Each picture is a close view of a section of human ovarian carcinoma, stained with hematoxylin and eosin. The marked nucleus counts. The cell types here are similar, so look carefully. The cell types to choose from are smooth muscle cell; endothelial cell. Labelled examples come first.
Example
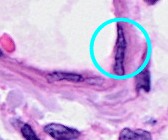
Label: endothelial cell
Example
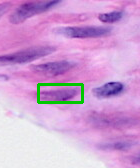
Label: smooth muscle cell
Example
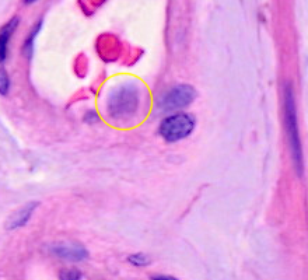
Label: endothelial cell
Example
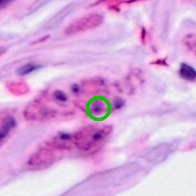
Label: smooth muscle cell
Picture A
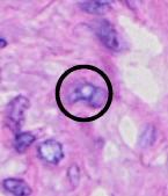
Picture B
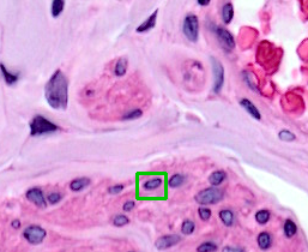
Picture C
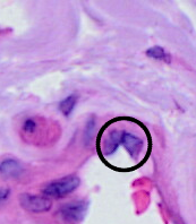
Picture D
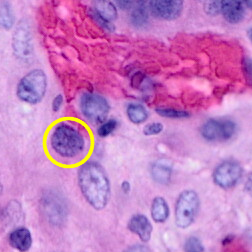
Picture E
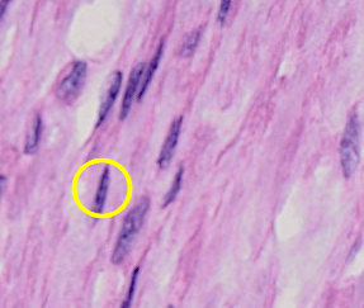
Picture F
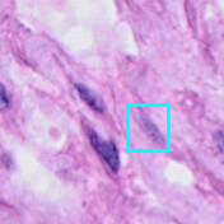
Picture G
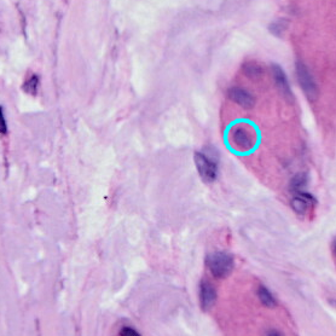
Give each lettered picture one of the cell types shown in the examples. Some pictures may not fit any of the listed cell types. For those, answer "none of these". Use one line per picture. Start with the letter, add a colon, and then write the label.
A: none of these
B: smooth muscle cell
C: endothelial cell
D: endothelial cell
E: none of these
F: none of these
G: smooth muscle cell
